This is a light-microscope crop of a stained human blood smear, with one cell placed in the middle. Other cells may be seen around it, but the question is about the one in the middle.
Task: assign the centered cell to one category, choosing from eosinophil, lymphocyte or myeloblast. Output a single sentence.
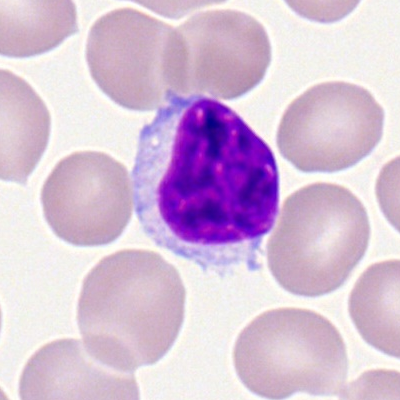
On this slide crop, the central cell is a lymphocyte.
